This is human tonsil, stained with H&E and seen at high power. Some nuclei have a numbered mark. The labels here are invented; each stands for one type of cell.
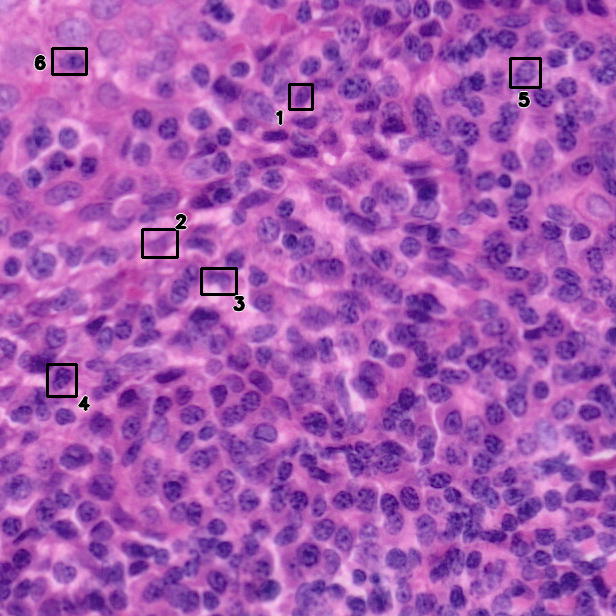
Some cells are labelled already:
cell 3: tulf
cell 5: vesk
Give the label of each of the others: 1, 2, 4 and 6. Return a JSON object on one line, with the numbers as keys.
{"1": "tulf", "2": "tulf", "4": "vesk", "6": "tulf"}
